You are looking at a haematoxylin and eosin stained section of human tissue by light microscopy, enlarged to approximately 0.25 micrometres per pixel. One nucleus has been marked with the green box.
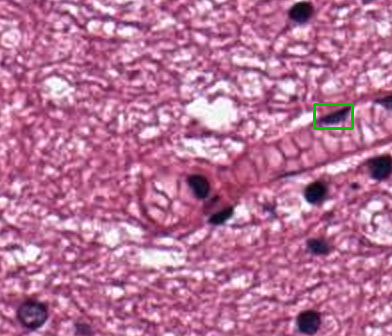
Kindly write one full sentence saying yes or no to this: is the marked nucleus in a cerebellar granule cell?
No, it is not a cerebellar granule cell that owns the marked nucleus but a supporting cell.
